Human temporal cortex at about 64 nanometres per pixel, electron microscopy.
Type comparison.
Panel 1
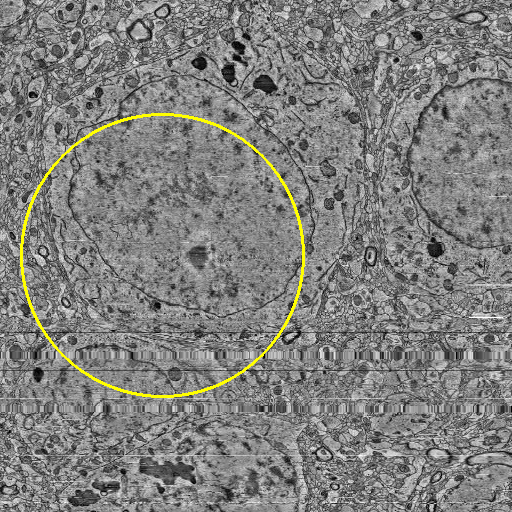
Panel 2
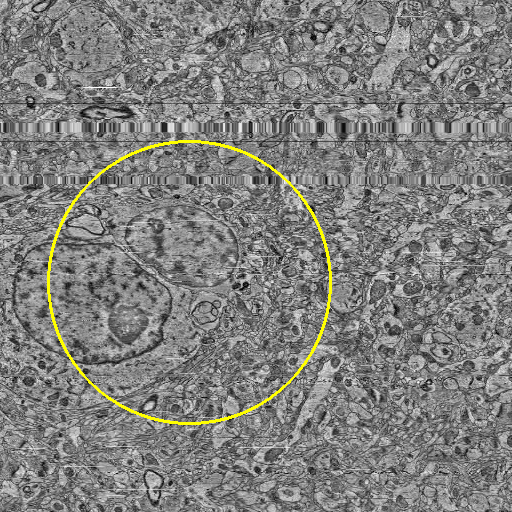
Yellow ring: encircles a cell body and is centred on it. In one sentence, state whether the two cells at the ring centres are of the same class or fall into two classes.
In these panels, the two cells at the ring centres fall into two classes.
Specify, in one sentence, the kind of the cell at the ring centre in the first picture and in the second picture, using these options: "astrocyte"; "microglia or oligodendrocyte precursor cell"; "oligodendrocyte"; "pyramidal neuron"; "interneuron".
So the first is a pyramidal neuron, the second an oligodendrocyte.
